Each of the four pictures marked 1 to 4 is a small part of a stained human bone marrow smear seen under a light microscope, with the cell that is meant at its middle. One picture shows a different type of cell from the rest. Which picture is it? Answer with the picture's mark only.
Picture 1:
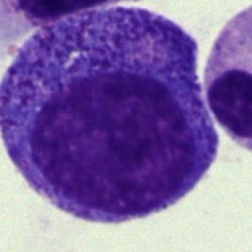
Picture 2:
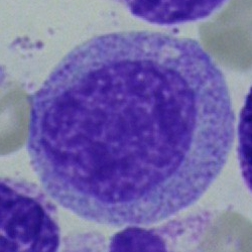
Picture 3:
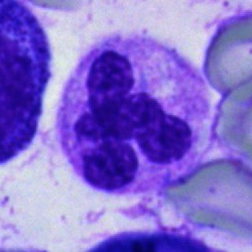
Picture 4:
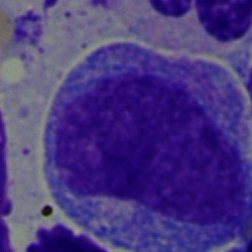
3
